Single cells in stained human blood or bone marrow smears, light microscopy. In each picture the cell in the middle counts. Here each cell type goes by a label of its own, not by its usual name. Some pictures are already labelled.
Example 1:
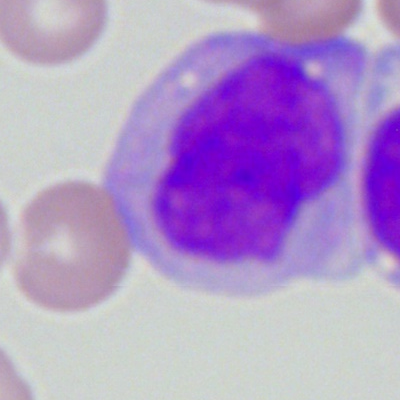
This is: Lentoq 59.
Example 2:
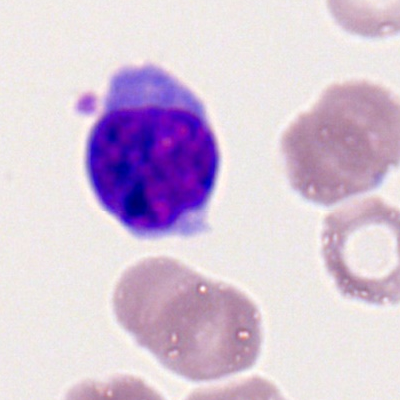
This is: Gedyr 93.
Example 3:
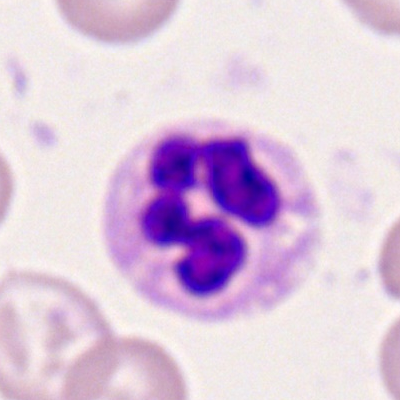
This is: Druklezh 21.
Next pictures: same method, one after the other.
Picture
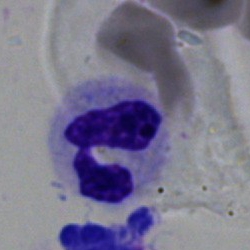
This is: Druklezh 21.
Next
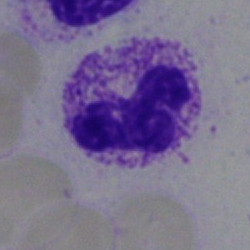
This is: Druklezh 21.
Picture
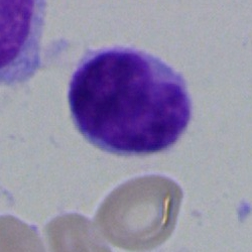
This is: Gedyr 93.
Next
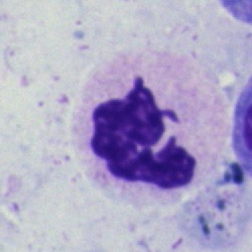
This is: Druklezh 21.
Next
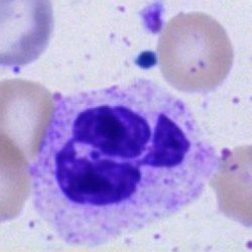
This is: Druklezh 21.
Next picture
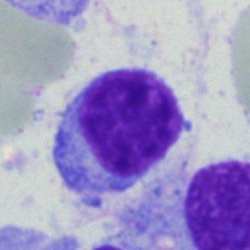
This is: Gedyr 93.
